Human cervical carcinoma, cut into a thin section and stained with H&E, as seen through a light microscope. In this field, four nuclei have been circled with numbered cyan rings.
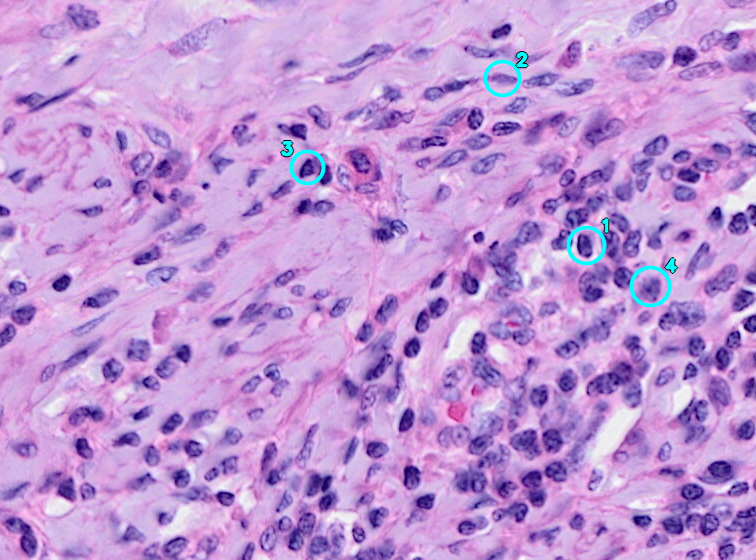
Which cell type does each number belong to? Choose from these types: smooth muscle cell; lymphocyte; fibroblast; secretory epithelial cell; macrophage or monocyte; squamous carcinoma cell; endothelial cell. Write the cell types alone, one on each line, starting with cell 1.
lymphocyte
fibroblast
lymphocyte
lymphocyte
